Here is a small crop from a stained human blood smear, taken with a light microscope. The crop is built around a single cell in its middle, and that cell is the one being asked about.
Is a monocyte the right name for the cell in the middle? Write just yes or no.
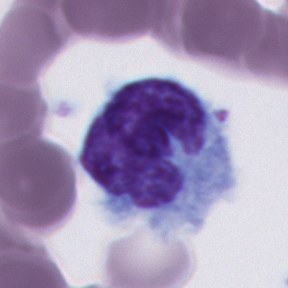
yes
